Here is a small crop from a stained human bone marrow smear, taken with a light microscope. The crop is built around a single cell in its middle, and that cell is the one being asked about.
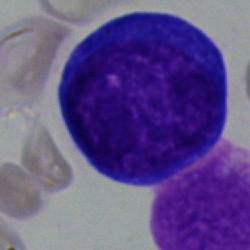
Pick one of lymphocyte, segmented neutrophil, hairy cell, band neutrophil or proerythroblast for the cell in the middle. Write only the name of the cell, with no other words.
proerythroblast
